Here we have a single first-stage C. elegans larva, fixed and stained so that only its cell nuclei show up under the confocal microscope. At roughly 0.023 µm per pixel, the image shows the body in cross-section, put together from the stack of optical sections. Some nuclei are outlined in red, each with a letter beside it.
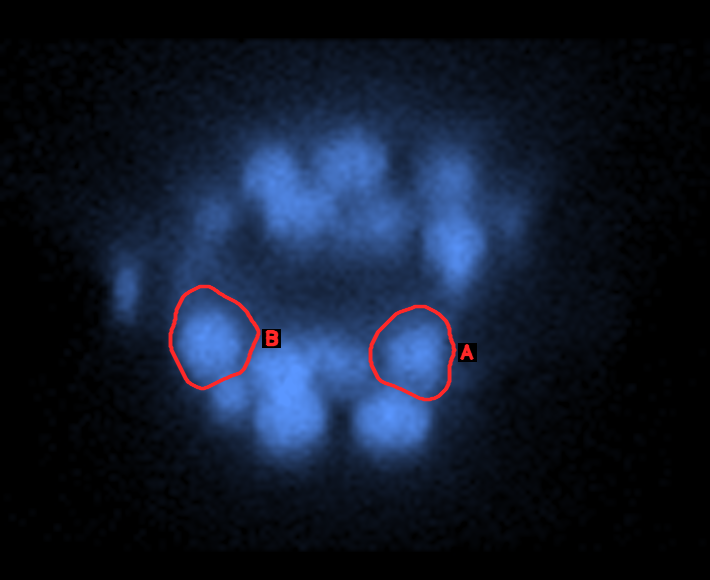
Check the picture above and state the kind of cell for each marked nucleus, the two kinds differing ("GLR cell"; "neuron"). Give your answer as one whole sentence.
B belongs to a neuron, and A to a GLR cell.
